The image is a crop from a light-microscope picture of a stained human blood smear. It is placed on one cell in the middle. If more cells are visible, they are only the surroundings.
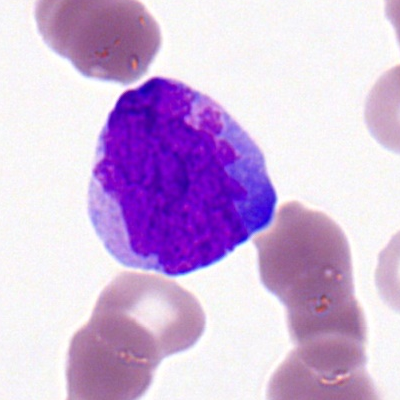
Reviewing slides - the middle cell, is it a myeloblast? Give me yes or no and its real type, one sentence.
Yes, the central cell of this crop corresponds to a myeloblast.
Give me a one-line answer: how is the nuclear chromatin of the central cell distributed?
What stands out is chromatin that is coarsely clumped.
